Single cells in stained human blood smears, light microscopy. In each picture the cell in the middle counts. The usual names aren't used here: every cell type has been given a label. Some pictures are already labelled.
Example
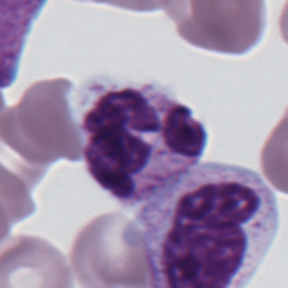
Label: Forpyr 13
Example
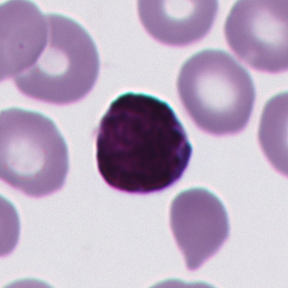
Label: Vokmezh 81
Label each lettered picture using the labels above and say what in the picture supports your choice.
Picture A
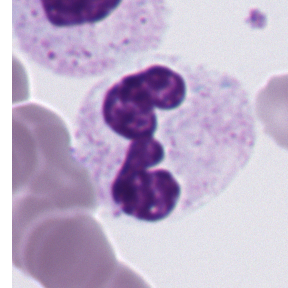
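Forpyr 13. Evidence: The cytoplasm is abundant and very pale pinkish-lilac.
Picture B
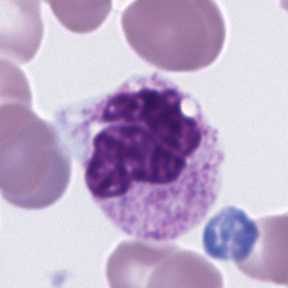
Forpyr 13. Evidence: The nucleus is irregular, with deep folds dividing it into several lobes.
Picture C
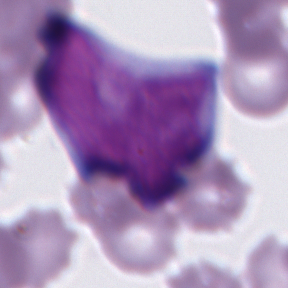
Vokmezh 81. Evidence: The purple nuclear material fills the whole outline of the cell.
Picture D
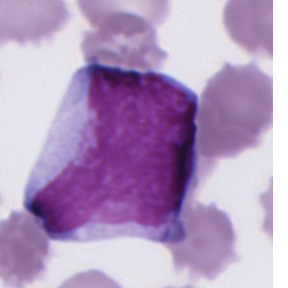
Vokmezh 81. Evidence: The nucleus fills most of the cell.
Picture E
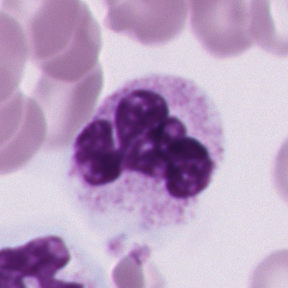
Forpyr 13. Evidence: The cytoplasm is pale pink-lilac rather than blue.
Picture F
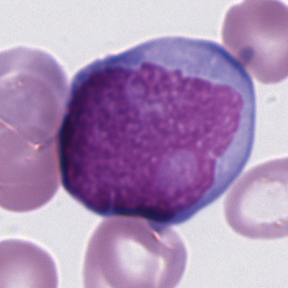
Vokmezh 81. Evidence: The cytoplasm is blue, deepening toward the cell edge.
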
